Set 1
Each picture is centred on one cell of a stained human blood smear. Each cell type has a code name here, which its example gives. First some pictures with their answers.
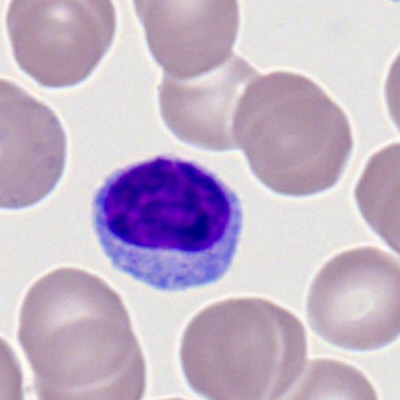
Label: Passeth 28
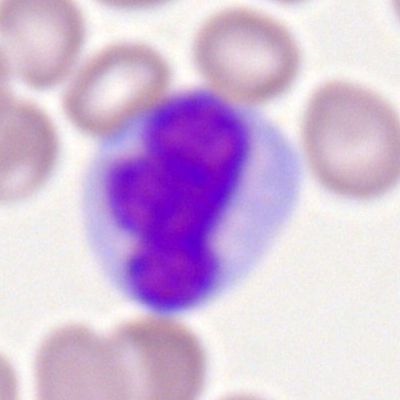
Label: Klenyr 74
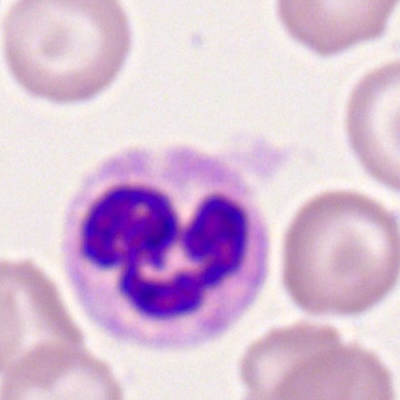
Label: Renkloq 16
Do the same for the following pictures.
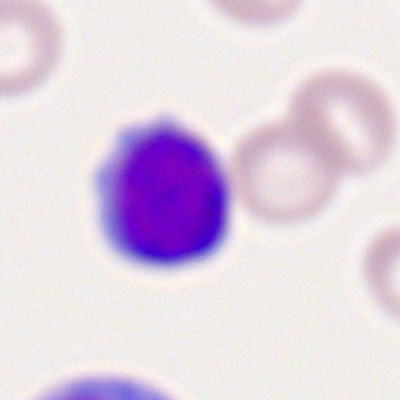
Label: Passeth 28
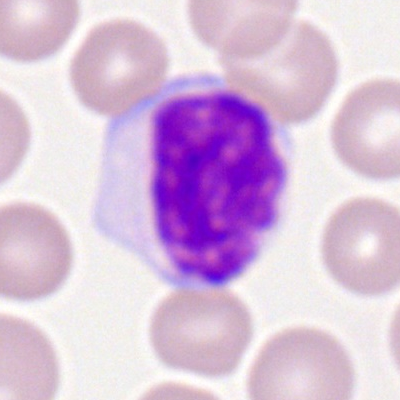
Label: Passeth 28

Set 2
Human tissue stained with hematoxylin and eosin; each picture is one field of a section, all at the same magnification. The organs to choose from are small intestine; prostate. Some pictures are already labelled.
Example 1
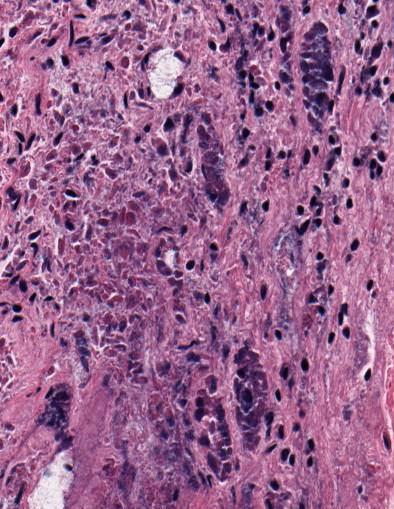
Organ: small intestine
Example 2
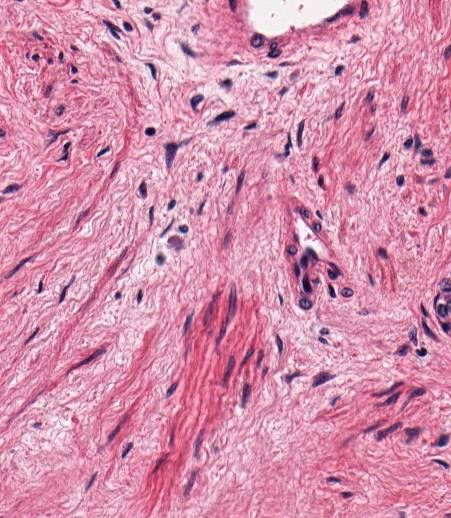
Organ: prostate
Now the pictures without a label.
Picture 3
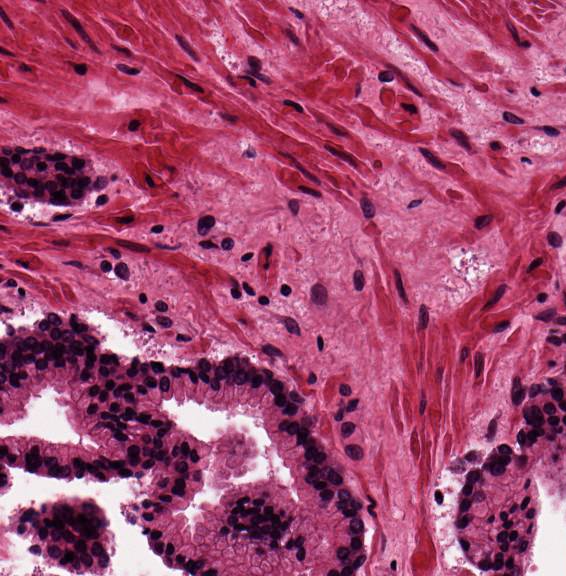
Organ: prostate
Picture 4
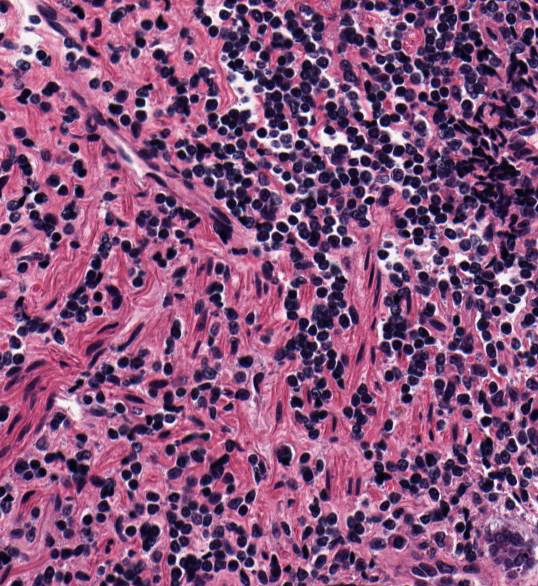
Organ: small intestine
